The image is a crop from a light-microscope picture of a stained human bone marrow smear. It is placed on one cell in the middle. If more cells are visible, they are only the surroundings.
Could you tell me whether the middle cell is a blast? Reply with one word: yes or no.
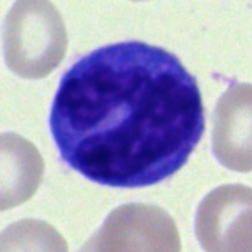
no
